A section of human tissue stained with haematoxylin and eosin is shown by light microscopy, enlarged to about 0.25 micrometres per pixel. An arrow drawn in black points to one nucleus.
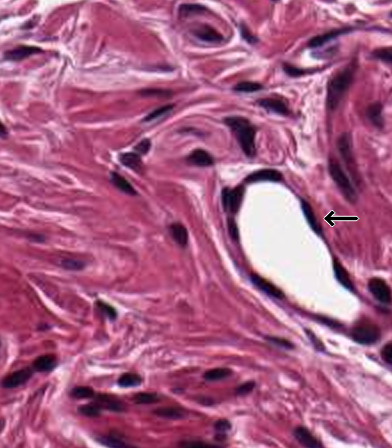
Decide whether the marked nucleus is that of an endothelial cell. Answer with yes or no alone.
yes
